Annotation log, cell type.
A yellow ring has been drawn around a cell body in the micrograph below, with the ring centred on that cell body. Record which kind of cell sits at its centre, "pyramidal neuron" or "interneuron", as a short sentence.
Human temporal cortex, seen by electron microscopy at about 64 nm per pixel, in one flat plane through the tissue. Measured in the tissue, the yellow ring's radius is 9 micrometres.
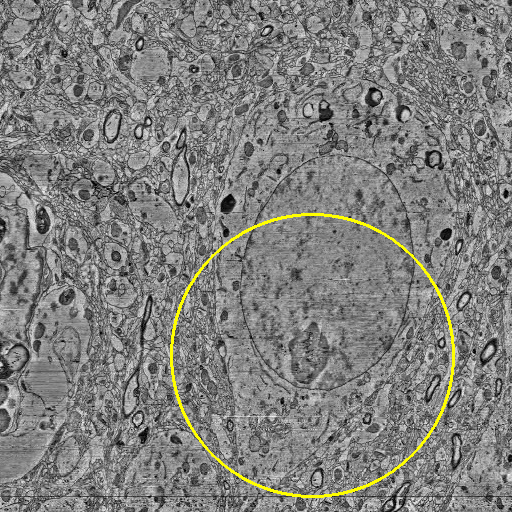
The cell at the centre of this ring is a pyramidal neuron.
